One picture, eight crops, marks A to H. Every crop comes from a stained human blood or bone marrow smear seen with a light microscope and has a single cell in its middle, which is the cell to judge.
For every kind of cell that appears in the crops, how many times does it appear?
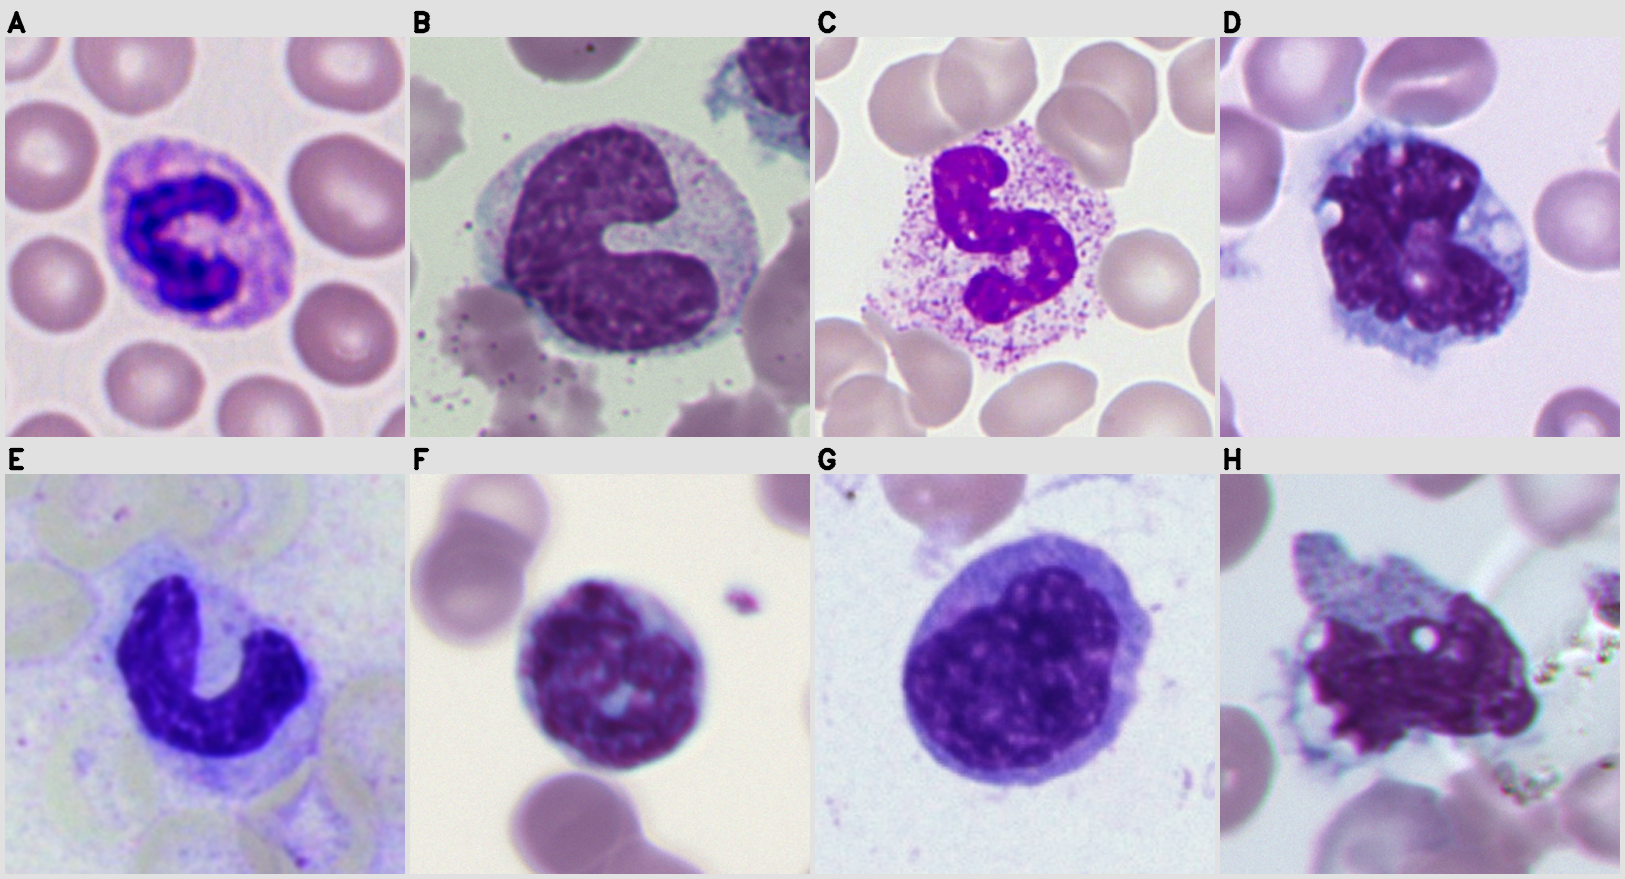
band neutrophil: 4
monocyte: 4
